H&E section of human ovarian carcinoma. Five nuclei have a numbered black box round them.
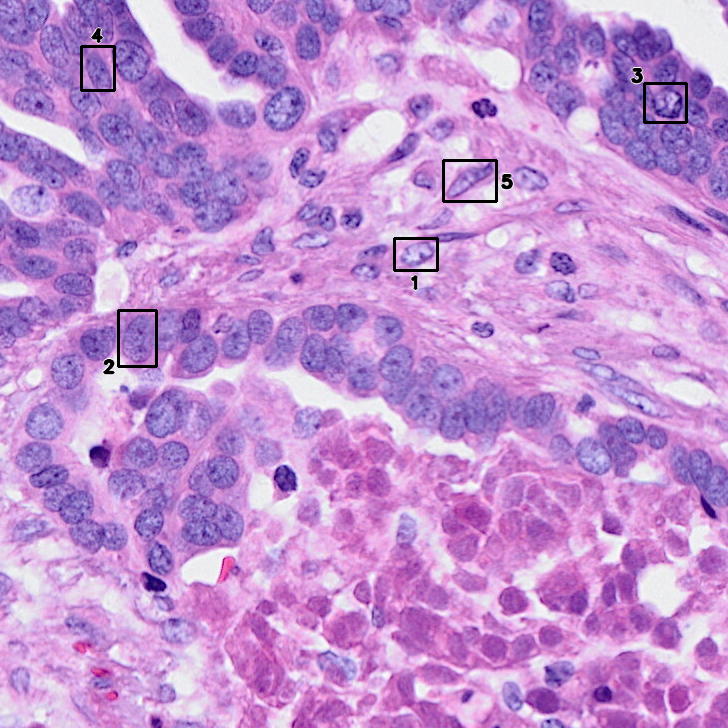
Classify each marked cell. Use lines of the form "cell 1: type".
cell 1: fibroblast
cell 2: carcinoma cell
cell 3: carcinoma cell
cell 4: carcinoma cell
cell 5: fibroblast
